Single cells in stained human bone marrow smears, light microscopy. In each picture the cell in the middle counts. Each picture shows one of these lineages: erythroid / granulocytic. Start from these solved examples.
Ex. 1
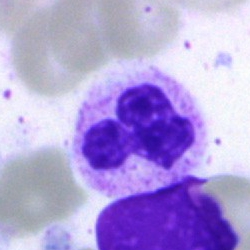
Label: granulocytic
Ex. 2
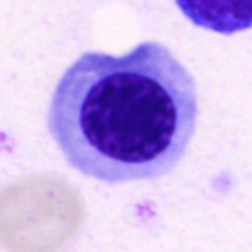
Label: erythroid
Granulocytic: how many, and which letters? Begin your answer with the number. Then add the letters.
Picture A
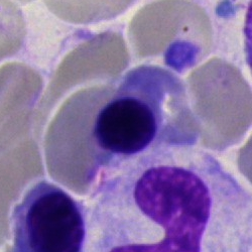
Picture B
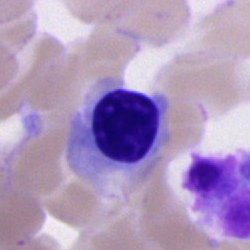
0, none of them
